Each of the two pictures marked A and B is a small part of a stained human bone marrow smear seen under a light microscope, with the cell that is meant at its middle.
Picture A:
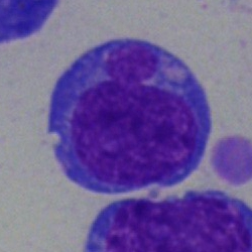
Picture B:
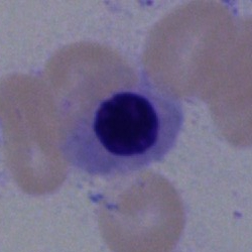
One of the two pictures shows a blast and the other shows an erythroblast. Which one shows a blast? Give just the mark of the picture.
A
